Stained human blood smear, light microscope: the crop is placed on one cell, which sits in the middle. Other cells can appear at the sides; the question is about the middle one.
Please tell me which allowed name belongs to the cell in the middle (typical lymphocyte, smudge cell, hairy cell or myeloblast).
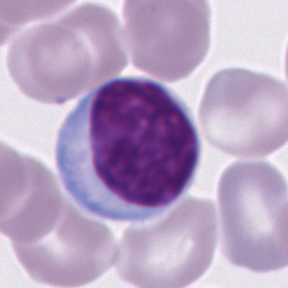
typical lymphocyte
